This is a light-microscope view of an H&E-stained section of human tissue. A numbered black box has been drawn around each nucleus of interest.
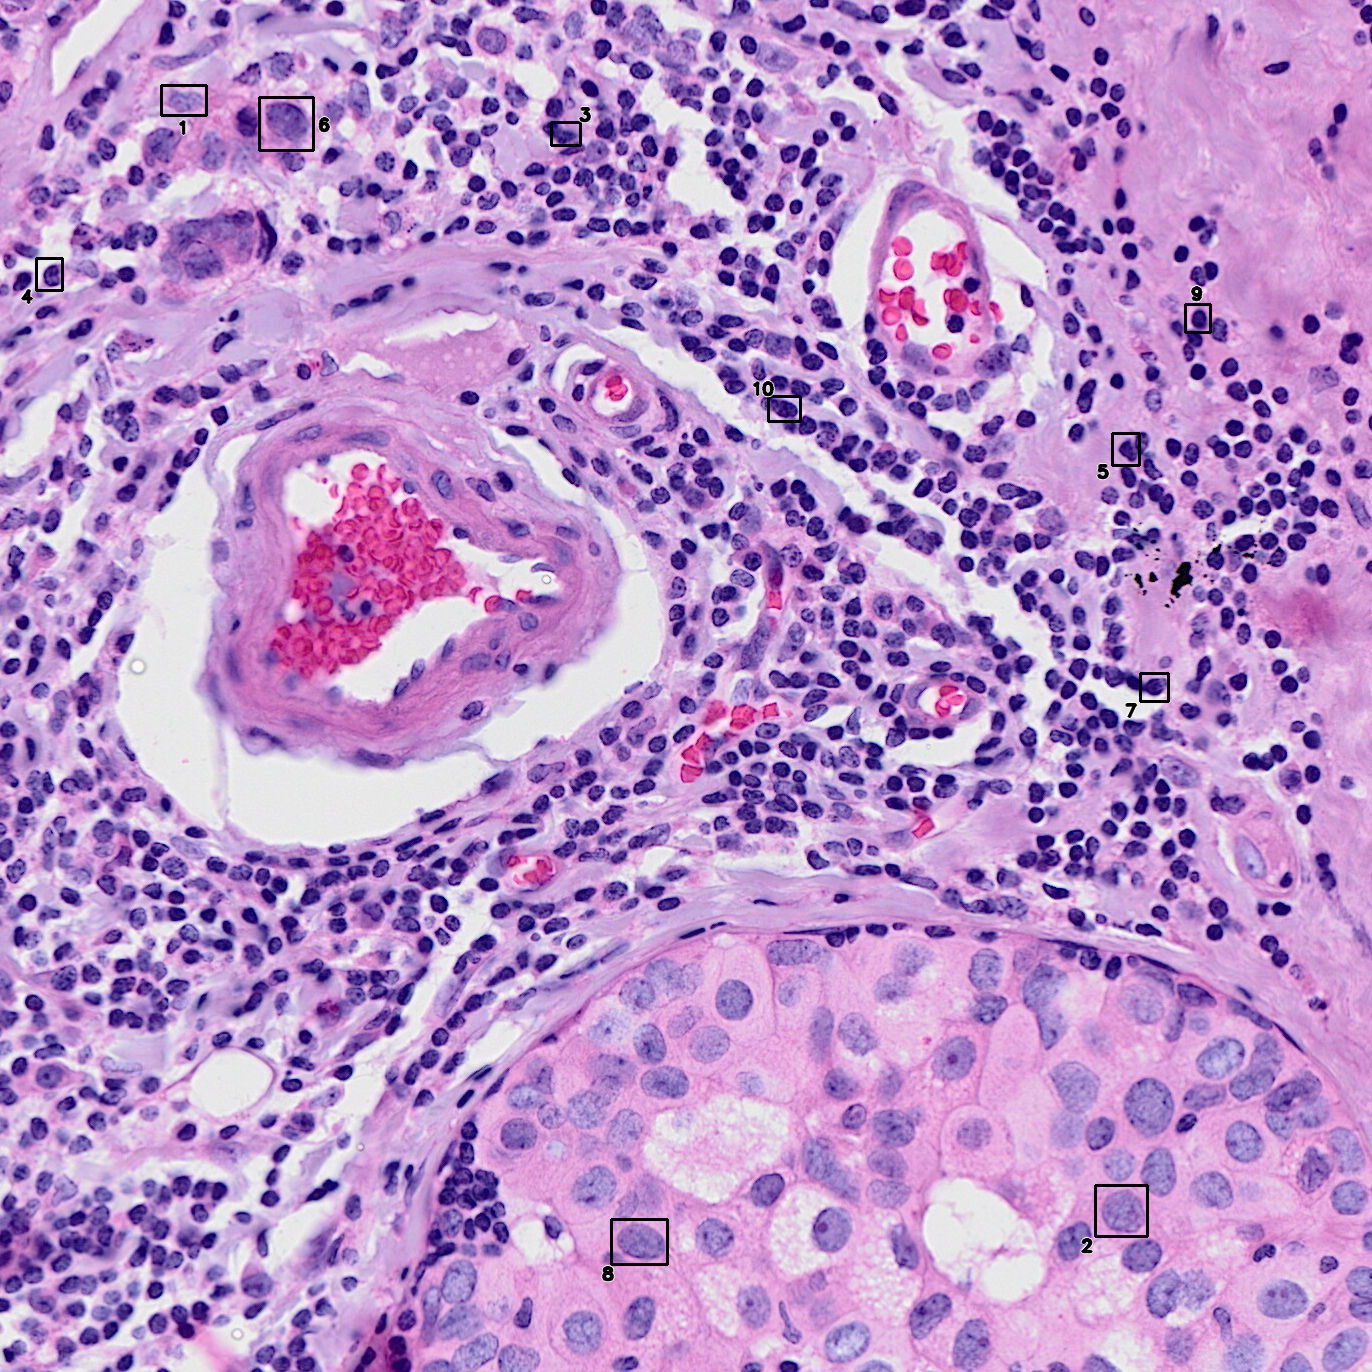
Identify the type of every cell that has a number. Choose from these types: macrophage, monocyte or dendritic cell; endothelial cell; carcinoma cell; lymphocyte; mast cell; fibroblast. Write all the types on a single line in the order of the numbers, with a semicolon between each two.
macrophage, monocyte or dendritic cell; carcinoma cell; lymphocyte; lymphocyte; lymphocyte; carcinoma cell; lymphocyte; carcinoma cell; lymphocyte; lymphocyte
